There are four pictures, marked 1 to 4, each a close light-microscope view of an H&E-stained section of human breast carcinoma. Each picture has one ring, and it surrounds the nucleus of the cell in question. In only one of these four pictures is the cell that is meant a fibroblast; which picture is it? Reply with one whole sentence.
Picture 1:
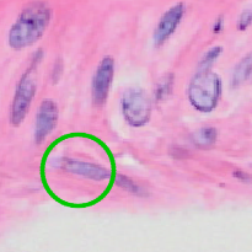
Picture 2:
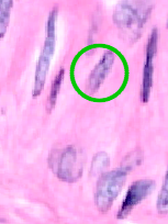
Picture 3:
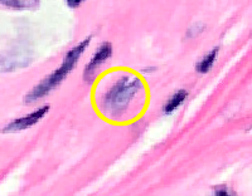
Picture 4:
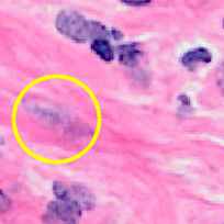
The picture with the fibroblast is 4.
